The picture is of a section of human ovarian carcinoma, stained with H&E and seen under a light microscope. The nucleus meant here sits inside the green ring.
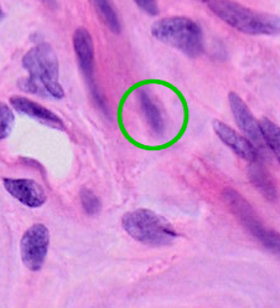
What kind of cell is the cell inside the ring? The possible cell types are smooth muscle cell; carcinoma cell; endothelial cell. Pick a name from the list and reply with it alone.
smooth muscle cell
